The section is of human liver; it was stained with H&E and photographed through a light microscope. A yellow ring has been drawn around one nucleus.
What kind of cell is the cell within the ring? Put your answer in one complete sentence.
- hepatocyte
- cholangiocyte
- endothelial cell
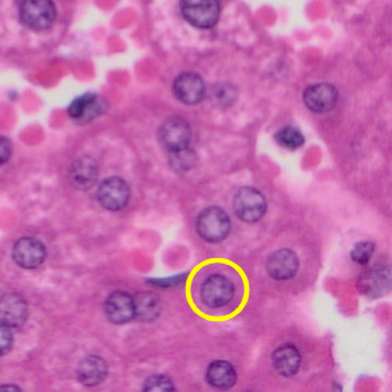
The correct response here is that the cell within the ring is a hepatocyte.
